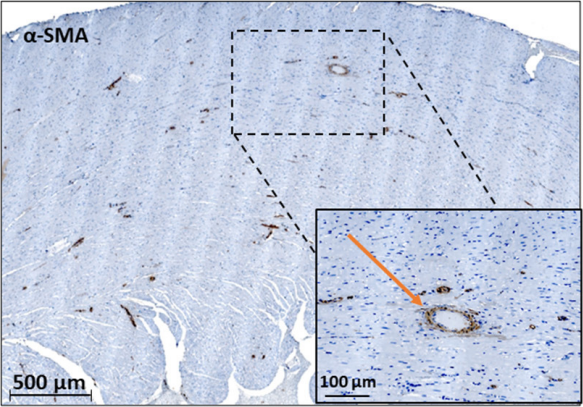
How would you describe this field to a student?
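Brown stain is confined mostly to vessel walls, seen as scattered small profiles and short streaks among the fibres. In the inset a large arteriole shows an open round lumen surrounded by a thin brown-stained smooth muscle wall, with little brown stain in the surrounding interstitium.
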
